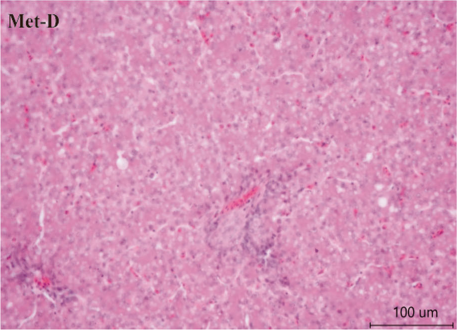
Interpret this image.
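Liver parenchyma of hepatocytes with pink granular cytoplasm and small round dark nuclei, packed in a dense sheet with narrow sinusoidal gaps. Near the centre a small vessel holds red blood cells and is surrounded by a cluster of small dark-staining nuclei. Scattered small round clear vacuoles lie among the hepatocytes.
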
